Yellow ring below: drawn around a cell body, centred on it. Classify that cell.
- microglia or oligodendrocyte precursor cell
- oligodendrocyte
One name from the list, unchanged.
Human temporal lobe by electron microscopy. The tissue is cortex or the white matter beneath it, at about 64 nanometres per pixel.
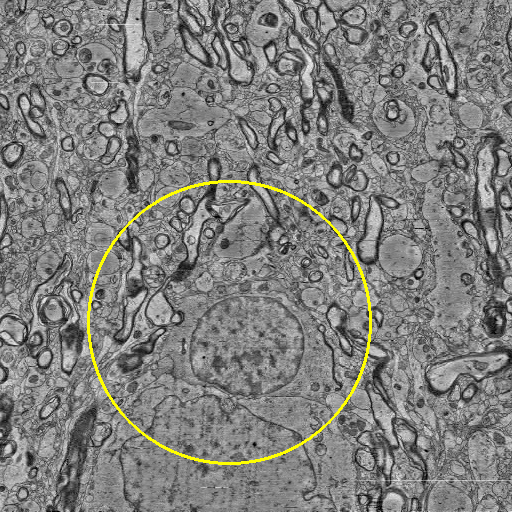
oligodendrocyte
